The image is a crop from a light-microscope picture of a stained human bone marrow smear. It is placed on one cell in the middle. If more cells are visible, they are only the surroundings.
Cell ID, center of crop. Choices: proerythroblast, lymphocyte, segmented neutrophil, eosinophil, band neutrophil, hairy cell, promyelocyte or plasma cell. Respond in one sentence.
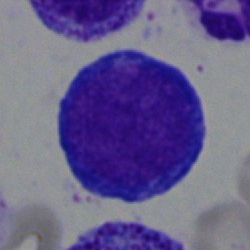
Present in the middle of the crop is a proerythroblast.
